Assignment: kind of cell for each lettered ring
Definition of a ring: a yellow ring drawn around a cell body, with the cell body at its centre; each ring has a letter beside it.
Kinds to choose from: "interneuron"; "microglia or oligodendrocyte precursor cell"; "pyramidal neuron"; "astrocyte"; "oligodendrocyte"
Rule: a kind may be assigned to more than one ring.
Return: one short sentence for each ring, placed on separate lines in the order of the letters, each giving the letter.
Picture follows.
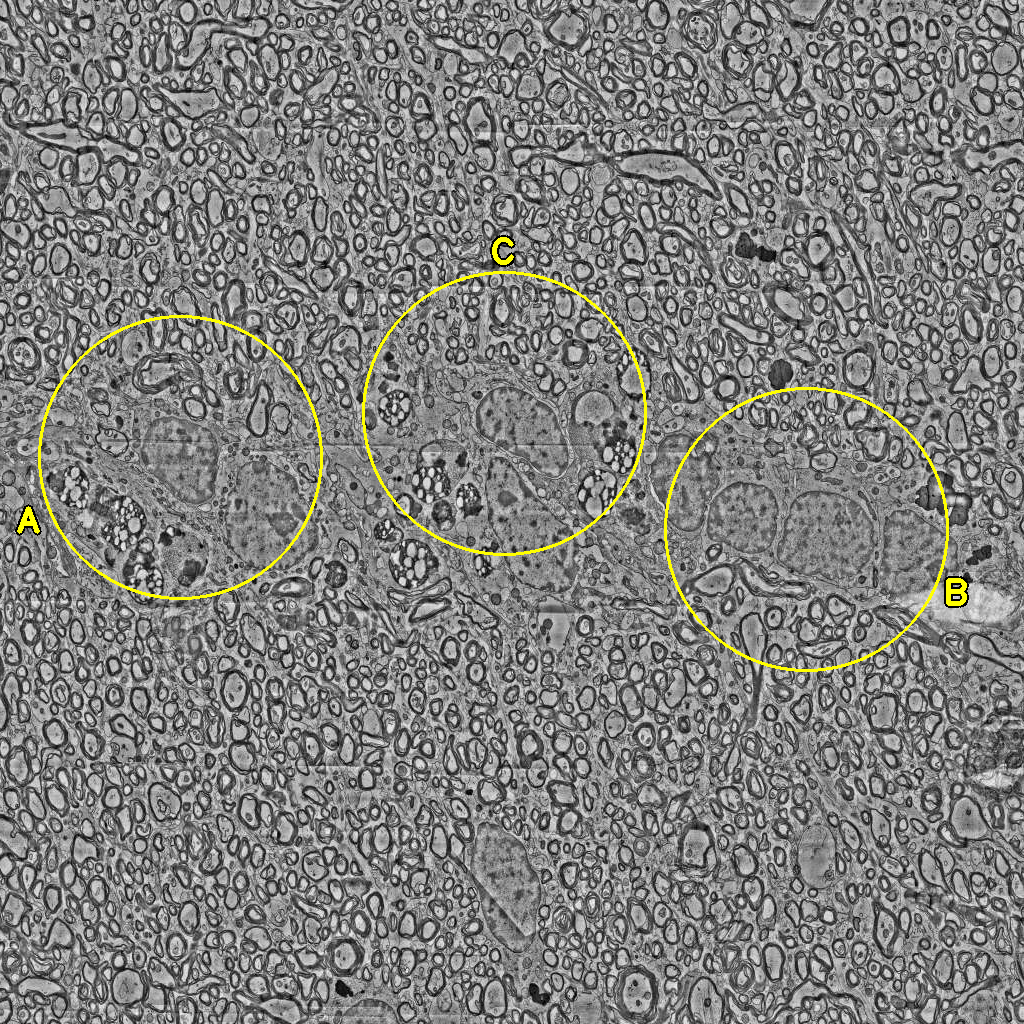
The ring marked A is centred on an oligodendrocyte.
The ring marked B is centred on an oligodendrocyte.
The ring marked C is centred on a microglial cell or oligodendrocyte precursor cell.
